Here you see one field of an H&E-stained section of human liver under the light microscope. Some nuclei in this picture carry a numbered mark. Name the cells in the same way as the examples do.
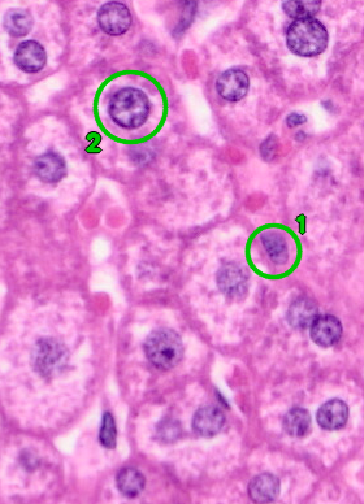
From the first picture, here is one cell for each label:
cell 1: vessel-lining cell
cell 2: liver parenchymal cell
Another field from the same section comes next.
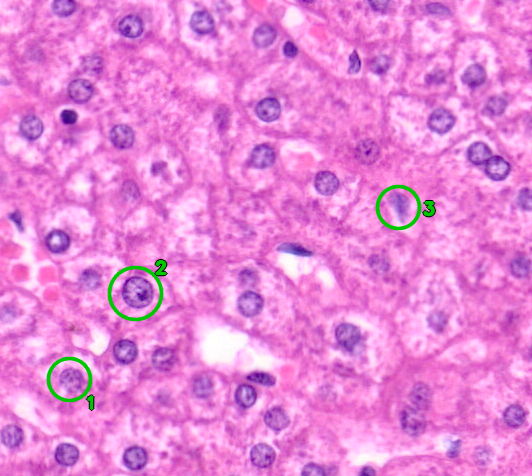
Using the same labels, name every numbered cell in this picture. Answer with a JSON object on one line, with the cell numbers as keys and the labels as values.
{"1": "liver parenchymal cell", "2": "liver parenchymal cell", "3": "vessel-lining cell"}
